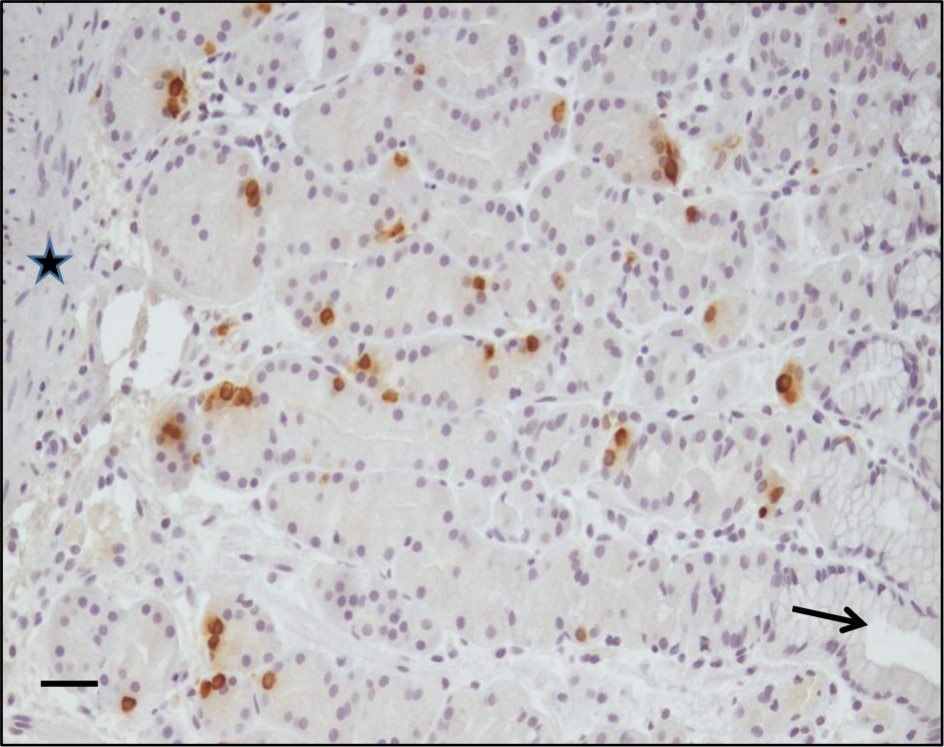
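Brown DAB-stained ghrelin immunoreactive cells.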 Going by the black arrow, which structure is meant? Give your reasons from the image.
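The arrow points at an open lumen at the lower right. The lumen is lined by tall columnar cells with pale, foamy cytoplasm and basal nuclei. These pale columnar cells differ from the rounded glands filling the rest of the field.
Answer: gastric pit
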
